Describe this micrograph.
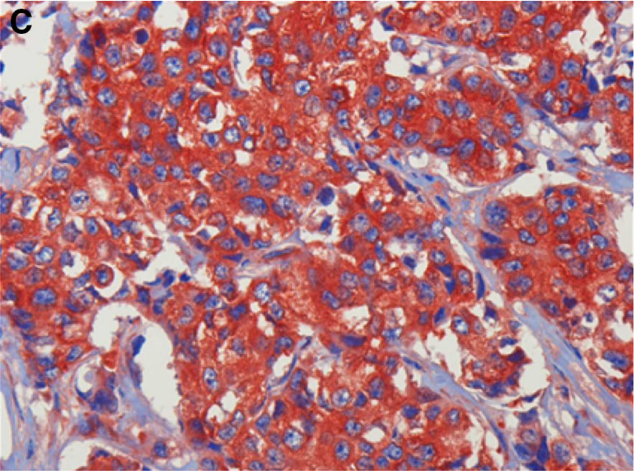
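Here we see crowded epithelial cells gathered into nests and sheets, separated by thin strands of pale blue fibrous stroma with a few spindle-shaped nuclei. Each epithelial cell has a round to oval blue nucleus, often with a visible nucleolus. Around the nuclei the cytoplasm is filled with strong, granular red stain, so the cell bodies stand out brightly while the nuclei stay blue and unstained. Small clear spaces and gaps lie between some cell groups. The stromal cells between the nests carry little or no red, which makes the contrast between the stained cytoplasm and the surrounding tissue plain.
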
